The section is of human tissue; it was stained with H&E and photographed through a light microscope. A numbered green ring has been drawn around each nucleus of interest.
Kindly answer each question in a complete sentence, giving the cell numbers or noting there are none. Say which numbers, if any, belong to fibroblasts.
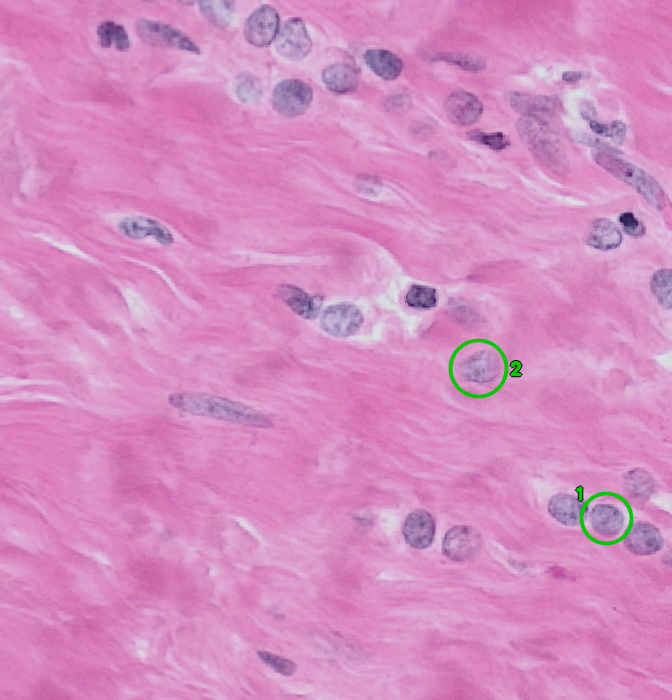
Of the cells bearing numbers, the only one that is a fibroblast is cell 2.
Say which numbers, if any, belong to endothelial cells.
None of the numbered cells are endothelial cells.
